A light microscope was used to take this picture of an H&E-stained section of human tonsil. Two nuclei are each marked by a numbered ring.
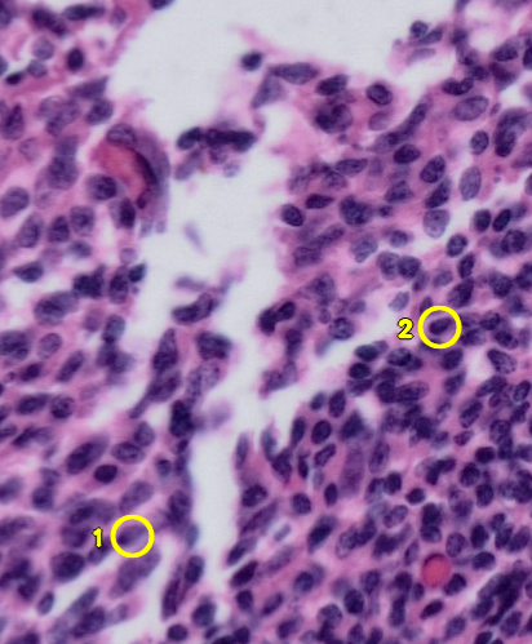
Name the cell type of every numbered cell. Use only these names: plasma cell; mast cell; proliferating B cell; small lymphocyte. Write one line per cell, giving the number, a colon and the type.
1: proliferating B cell
2: small lymphocyte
